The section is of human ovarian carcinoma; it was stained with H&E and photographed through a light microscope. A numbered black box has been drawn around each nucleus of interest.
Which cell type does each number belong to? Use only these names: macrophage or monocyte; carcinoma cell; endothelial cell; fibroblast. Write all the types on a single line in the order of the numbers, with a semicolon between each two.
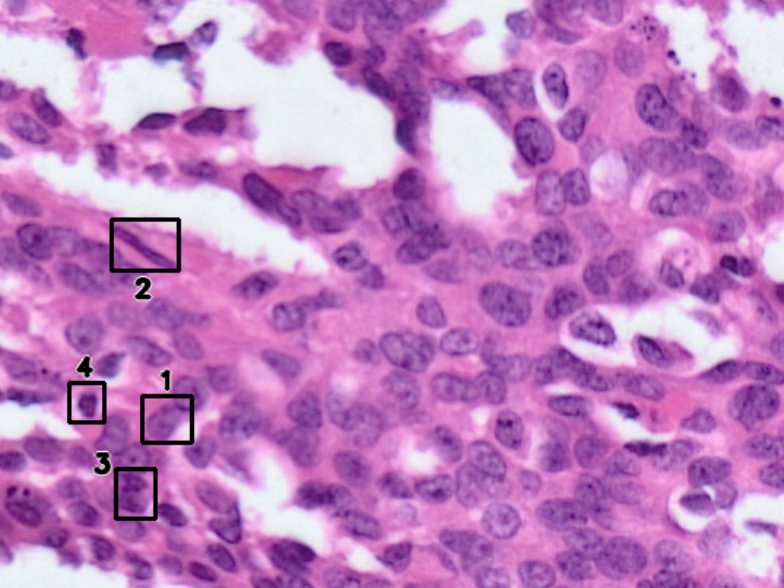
carcinoma cell; fibroblast; carcinoma cell; carcinoma cell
